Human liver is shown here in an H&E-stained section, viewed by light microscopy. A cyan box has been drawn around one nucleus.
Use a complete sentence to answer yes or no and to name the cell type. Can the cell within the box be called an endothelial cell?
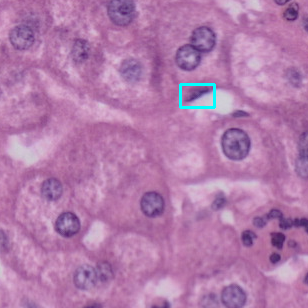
Yes, the cell within the box is correctly named as an endothelial cell.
